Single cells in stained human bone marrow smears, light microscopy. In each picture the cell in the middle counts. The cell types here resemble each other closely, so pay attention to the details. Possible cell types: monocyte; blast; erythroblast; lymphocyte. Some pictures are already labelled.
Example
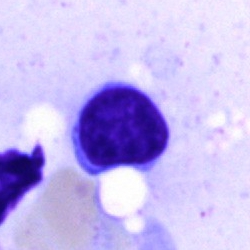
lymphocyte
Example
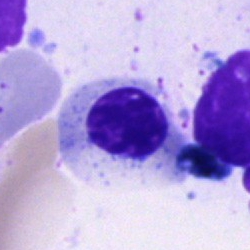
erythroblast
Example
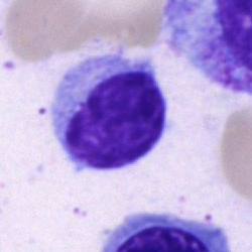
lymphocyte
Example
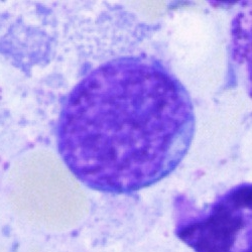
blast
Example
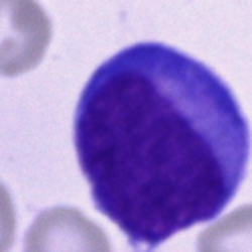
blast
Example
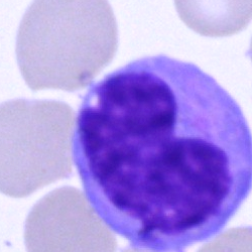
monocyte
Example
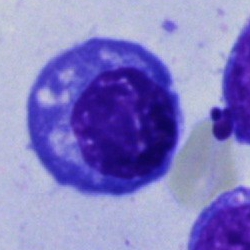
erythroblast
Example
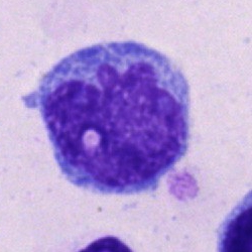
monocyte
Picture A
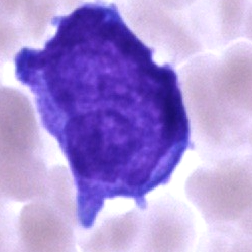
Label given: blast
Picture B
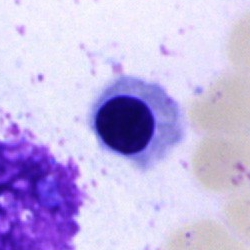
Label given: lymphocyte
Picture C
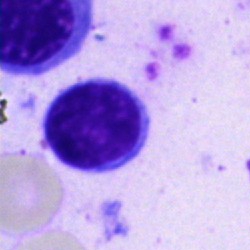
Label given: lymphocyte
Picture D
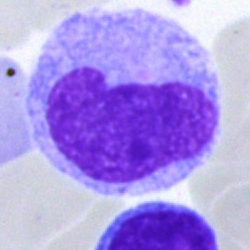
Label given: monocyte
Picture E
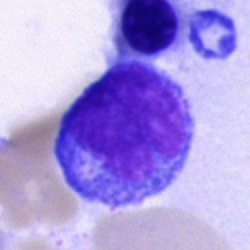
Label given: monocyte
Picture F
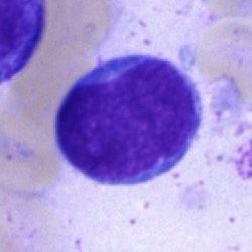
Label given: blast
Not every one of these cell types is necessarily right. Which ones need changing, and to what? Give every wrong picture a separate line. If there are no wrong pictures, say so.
B: change lymphocyte to erythroblast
